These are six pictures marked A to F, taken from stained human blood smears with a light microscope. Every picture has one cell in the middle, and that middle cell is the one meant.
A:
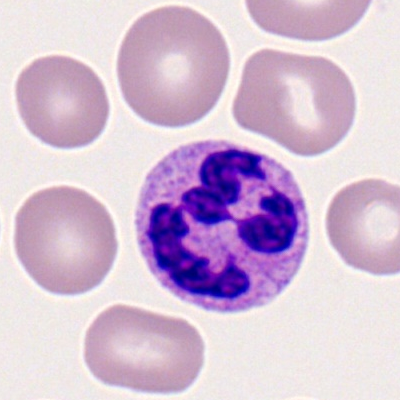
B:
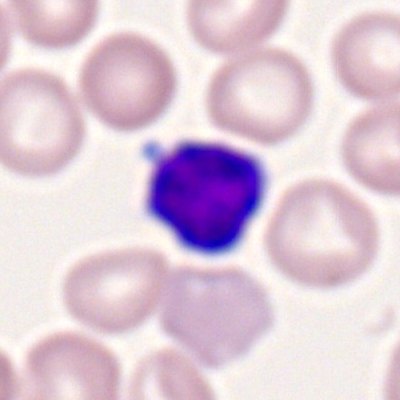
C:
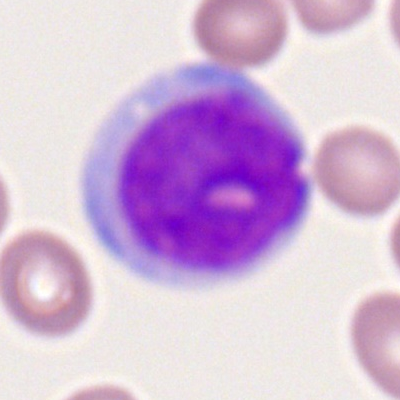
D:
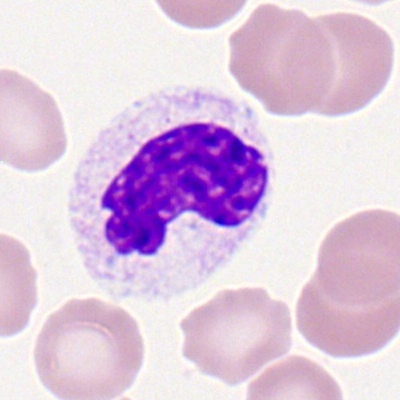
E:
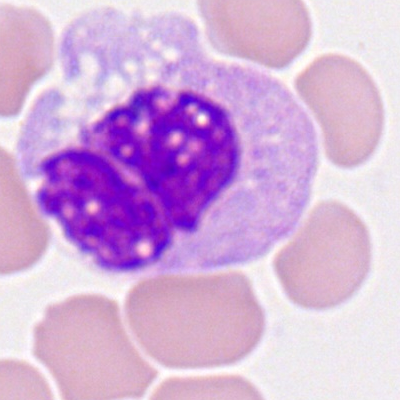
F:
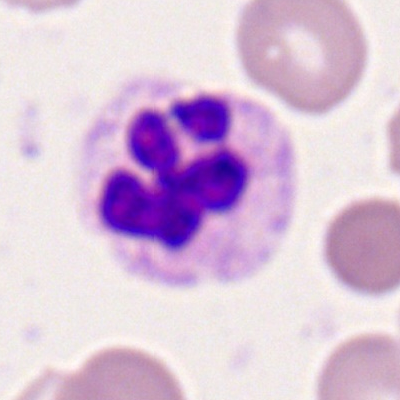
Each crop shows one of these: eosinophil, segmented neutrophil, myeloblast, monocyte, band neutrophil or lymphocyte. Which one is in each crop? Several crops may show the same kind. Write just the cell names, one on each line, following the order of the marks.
segmented neutrophil
lymphocyte
myeloblast
band neutrophil
monocyte
segmented neutrophil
